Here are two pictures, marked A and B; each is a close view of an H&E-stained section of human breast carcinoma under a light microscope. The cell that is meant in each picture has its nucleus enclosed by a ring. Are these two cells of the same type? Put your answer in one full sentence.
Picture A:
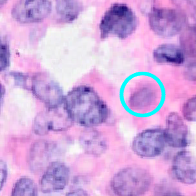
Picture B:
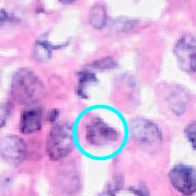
Yes, they are the same type: both are carcinoma cells.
